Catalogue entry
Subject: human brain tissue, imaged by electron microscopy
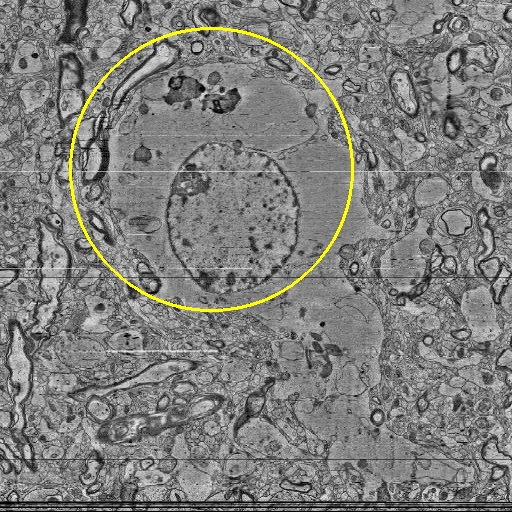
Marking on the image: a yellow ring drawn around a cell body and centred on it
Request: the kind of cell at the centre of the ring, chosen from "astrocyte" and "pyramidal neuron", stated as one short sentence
The ring has an astrocyte at its centre.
